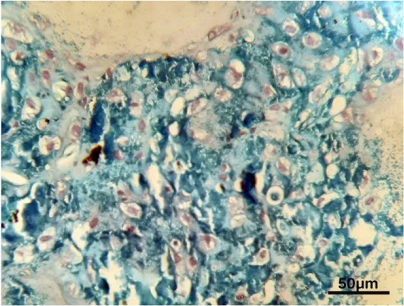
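Chondrocytes embedded in a blue-stained matrix. The cells are rounded to oval, each with a small pink-red nucleus, many lying within pale clear spaces like lacunae. The tissue is packed, with paler unstained areas at its upper edge.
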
